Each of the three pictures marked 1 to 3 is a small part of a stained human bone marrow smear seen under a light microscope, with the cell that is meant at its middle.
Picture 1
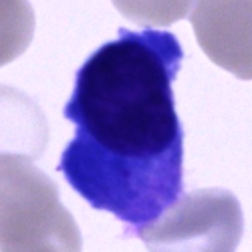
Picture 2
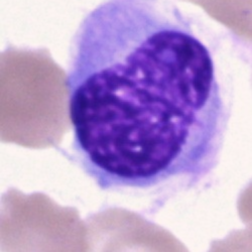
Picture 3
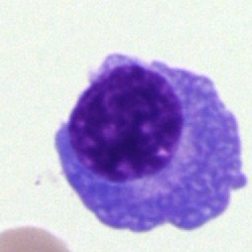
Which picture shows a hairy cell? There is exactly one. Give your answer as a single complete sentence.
Picture 2 is the one that shows the hairy cell.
